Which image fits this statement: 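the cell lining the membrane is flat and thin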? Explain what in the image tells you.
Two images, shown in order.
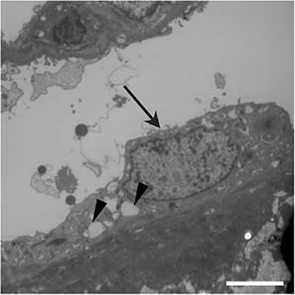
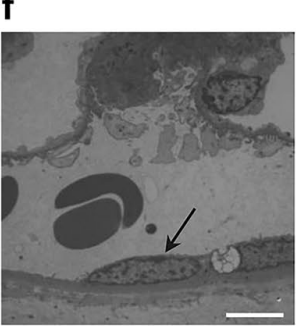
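The second image. First image: the marked cell is plump with a large oval nucleus and clear vacuoles in its cytoplasm. Second image: the marked cell is a thin sliver with a flattened nucleus lying along the membrane.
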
